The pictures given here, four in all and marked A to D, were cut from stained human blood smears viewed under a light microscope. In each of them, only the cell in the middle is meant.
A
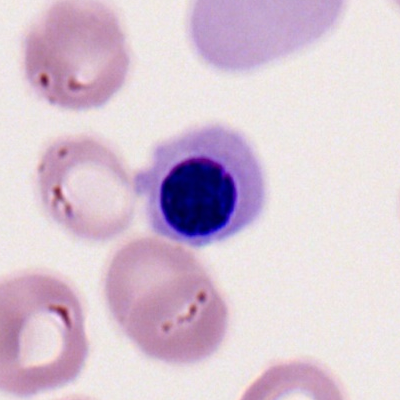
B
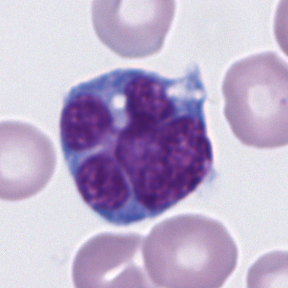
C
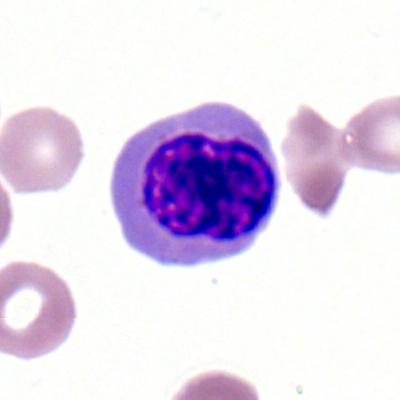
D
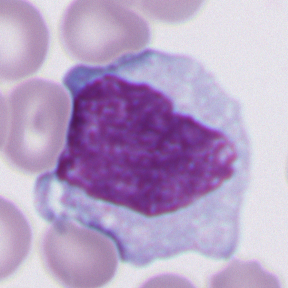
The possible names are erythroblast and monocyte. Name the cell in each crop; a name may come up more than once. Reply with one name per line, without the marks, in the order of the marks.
erythroblast
monocyte
erythroblast
monocyte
